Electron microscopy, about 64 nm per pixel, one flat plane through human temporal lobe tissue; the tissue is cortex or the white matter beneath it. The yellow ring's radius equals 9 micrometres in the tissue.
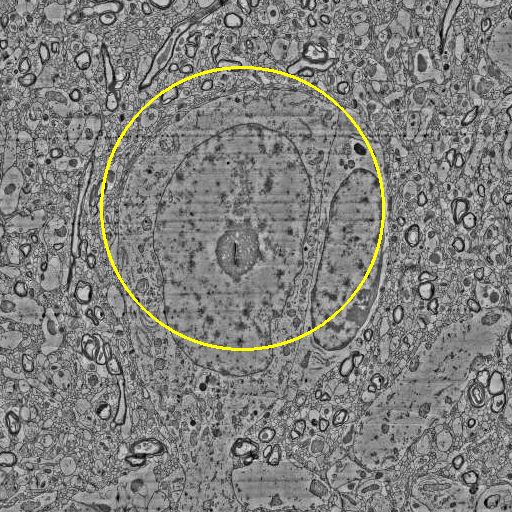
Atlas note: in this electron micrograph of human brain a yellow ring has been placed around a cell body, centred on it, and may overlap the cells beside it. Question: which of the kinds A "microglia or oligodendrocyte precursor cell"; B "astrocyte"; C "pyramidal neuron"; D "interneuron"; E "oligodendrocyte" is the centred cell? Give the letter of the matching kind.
C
